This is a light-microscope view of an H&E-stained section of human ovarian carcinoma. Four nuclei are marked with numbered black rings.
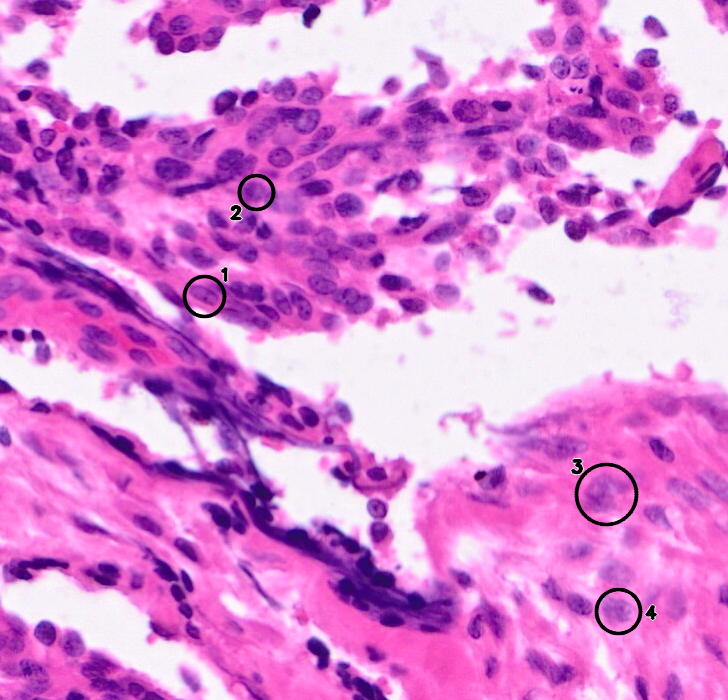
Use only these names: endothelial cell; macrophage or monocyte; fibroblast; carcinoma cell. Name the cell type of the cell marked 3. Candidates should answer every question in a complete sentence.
Here the cell numbered 3 is a fibroblast.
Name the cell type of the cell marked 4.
Cell 4, as marked in the section, is a fibroblast.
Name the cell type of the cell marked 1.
Cell 1 in the field is a carcinoma cell.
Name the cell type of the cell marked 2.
The nucleus with number 2 is that of a carcinoma cell.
